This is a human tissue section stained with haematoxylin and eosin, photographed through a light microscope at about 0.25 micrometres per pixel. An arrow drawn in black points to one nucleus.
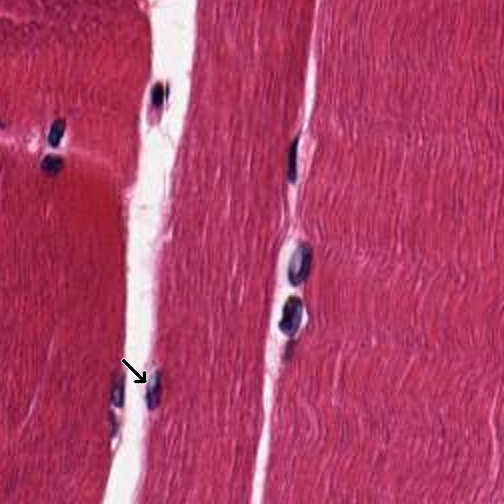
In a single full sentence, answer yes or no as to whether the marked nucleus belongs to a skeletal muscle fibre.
Yes, the marked nucleus is present within a skeletal muscle fibre.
